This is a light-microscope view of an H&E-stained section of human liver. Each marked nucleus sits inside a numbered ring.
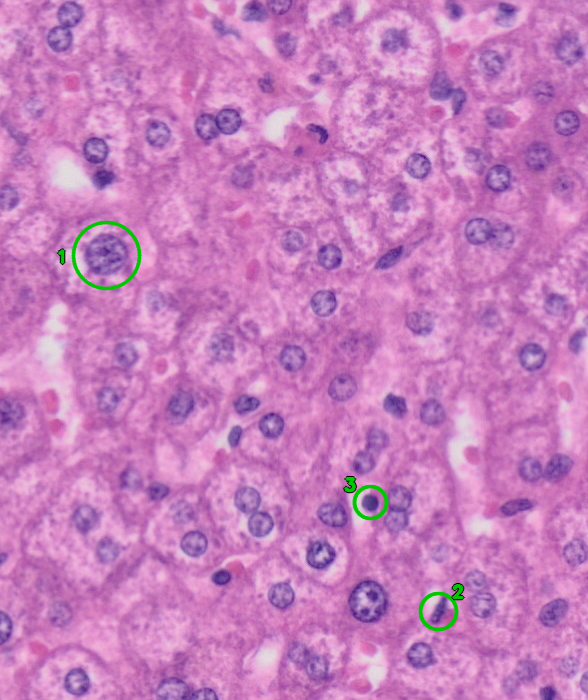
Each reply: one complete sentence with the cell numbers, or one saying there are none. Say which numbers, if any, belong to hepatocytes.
Cell 1 is a hepatocyte; no further numbered cell is.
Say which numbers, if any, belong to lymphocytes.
Cell 3 is a lymphocyte, while all remaining marked cells are of other types.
